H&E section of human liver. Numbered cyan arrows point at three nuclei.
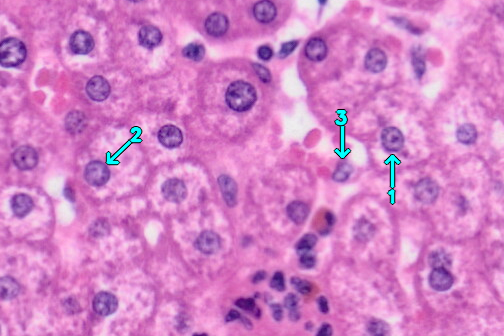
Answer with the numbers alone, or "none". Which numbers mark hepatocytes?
1, 2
